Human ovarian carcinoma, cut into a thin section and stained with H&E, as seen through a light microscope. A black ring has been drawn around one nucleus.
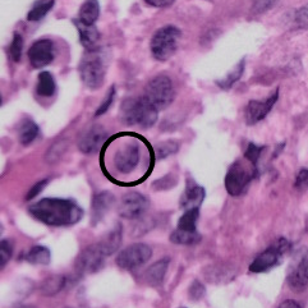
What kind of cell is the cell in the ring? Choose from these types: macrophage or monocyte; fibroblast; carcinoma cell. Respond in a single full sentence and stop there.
The cell type of the cell in the ring is that of a macrophage or monocyte.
